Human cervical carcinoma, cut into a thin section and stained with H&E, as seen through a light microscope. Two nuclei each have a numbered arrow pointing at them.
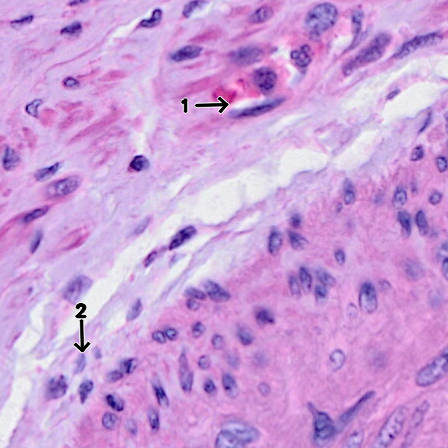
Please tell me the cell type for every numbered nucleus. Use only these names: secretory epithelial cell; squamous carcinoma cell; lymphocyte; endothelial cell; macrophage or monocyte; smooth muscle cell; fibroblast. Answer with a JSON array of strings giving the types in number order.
["endothelial cell", "fibroblast"]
